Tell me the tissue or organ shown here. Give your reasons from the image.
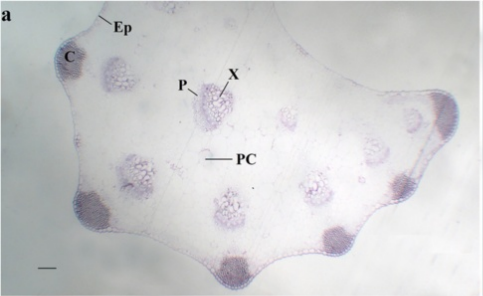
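Petioles. A ridged, lobed outline in cross section. Dense darkly stained patches at the ridges beneath a thin surface layer.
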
